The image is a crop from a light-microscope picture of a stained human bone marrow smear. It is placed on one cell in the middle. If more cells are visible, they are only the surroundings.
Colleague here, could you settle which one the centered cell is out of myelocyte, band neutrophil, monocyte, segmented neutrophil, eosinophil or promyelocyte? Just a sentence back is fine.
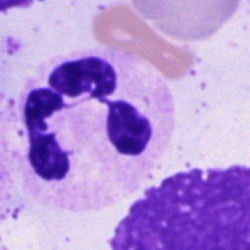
On this slide crop, the central cell is a segmented neutrophil.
